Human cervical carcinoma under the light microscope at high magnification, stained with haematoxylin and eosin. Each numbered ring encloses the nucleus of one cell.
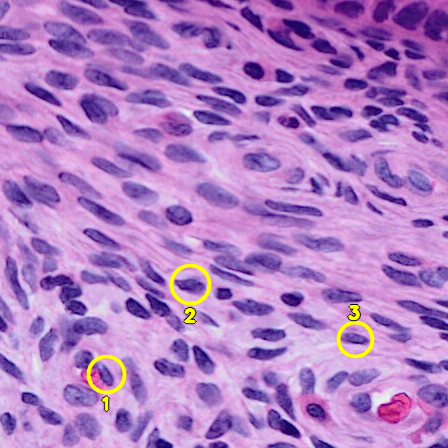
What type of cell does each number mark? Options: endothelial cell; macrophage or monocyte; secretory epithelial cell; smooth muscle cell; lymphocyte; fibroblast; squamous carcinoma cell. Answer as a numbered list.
1. endothelial cell
2. fibroblast
3. fibroblast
